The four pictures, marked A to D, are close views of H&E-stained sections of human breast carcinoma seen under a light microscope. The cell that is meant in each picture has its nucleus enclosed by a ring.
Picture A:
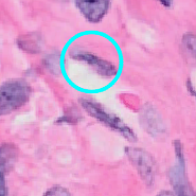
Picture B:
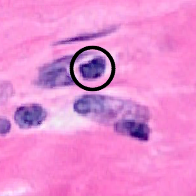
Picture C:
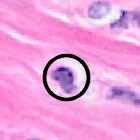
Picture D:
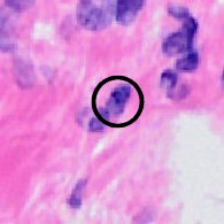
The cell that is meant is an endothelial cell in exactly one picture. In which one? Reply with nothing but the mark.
A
